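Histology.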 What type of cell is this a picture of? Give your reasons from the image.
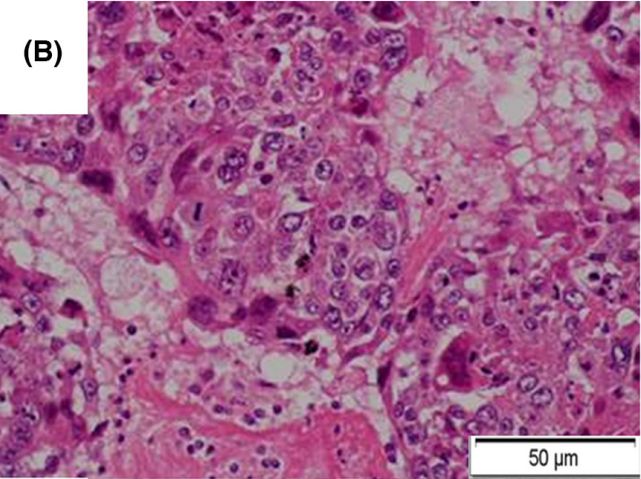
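Syncytial cell‐like atypical cells. Scattered large cells with deep pink cytoplasm and several dark nuclei lie among the other tumour cells. Sheets of smaller atypical cells with large vesicular nuclei and nucleoli lie around them.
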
